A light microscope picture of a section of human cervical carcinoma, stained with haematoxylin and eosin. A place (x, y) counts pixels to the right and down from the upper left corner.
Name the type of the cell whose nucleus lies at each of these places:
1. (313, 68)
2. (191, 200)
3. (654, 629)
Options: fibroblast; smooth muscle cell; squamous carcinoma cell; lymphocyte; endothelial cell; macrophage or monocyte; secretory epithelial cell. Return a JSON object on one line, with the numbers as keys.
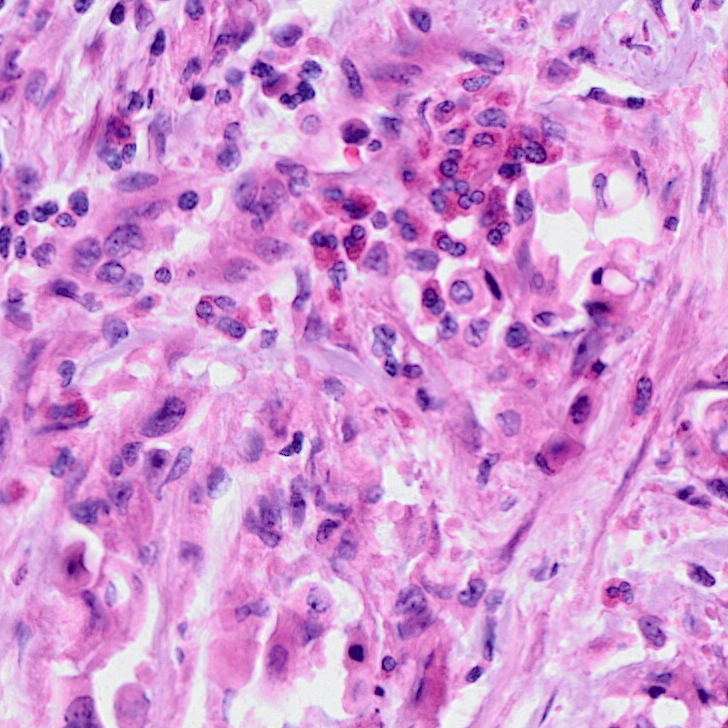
{"1": "lymphocyte", "2": "lymphocyte", "3": "macrophage or monocyte"}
